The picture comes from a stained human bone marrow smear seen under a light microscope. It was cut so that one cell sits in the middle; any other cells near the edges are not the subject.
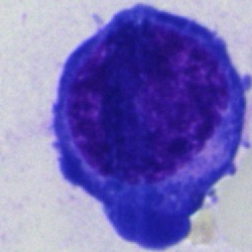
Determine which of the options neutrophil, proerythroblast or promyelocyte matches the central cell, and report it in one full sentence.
Centred in the crop is a proerythroblast.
